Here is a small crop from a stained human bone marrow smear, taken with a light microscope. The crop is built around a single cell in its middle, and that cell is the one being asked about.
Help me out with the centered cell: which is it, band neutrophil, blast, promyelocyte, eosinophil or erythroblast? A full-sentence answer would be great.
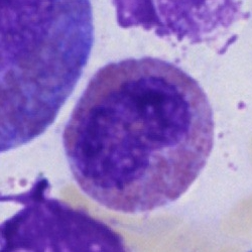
The cell in the middle of this crop is an eosinophil.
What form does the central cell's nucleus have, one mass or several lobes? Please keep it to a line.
What stands out is a nucleus forming one compact round, oval or kidney-shaped mass.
